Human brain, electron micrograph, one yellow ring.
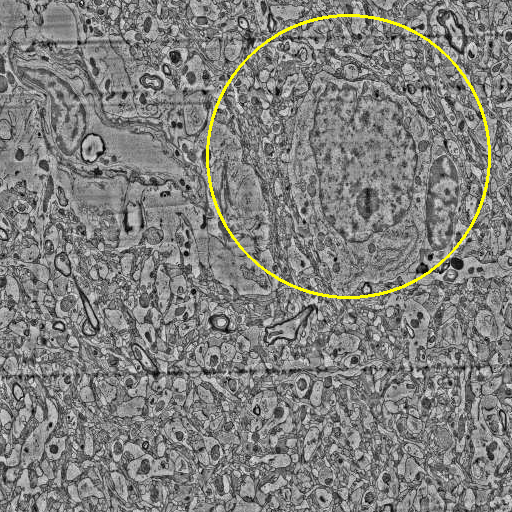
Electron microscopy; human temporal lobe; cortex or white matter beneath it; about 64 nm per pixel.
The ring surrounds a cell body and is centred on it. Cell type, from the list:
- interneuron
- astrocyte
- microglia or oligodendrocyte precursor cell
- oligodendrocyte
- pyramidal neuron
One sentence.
The yellow ring circles an interneuron.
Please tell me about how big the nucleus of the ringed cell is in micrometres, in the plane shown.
In this plane the nucleus is clearly longer than it is wide, at approximately 10 by 7 micrometres.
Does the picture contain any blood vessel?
Yes.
